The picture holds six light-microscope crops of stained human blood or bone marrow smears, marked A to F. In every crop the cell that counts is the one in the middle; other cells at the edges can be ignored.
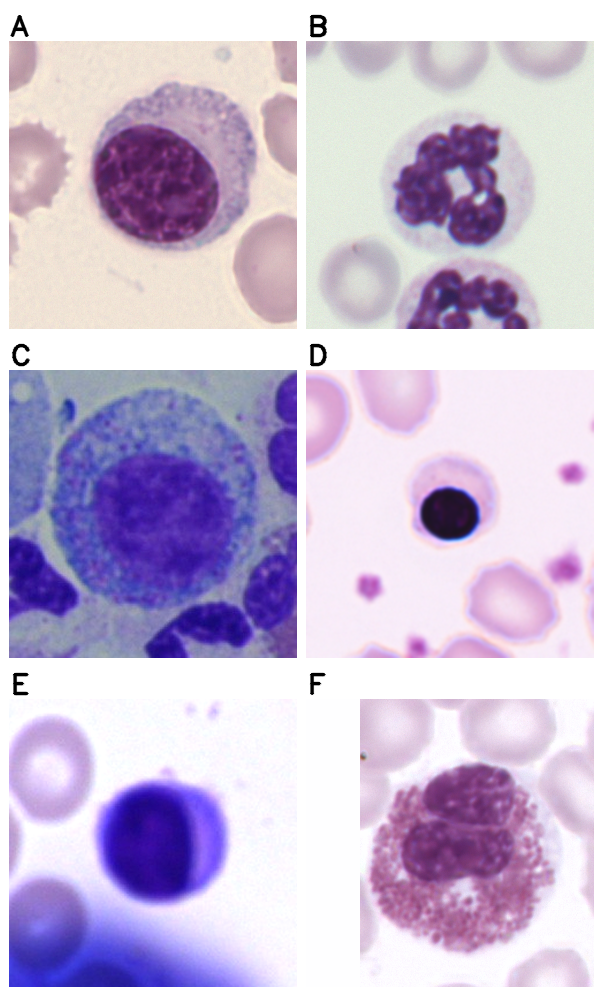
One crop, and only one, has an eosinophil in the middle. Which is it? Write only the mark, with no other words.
F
